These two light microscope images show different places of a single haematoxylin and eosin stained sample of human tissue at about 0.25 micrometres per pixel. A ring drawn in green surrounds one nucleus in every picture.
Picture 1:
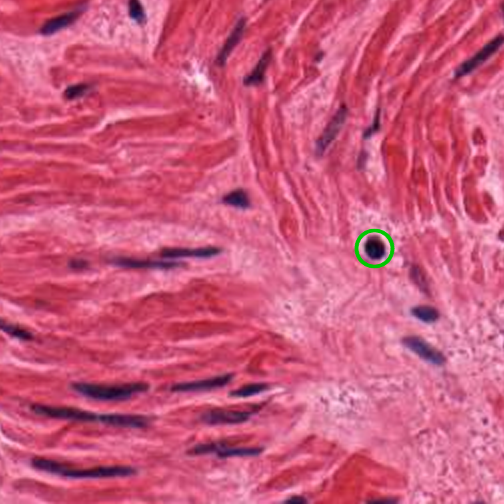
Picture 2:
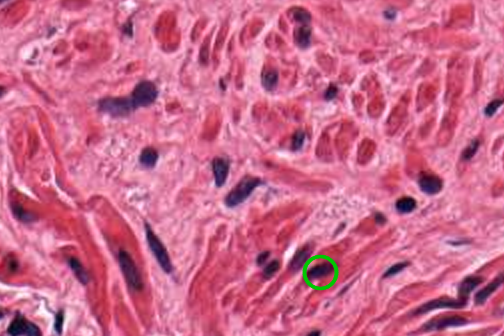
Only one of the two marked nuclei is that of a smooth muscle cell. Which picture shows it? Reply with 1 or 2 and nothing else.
2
